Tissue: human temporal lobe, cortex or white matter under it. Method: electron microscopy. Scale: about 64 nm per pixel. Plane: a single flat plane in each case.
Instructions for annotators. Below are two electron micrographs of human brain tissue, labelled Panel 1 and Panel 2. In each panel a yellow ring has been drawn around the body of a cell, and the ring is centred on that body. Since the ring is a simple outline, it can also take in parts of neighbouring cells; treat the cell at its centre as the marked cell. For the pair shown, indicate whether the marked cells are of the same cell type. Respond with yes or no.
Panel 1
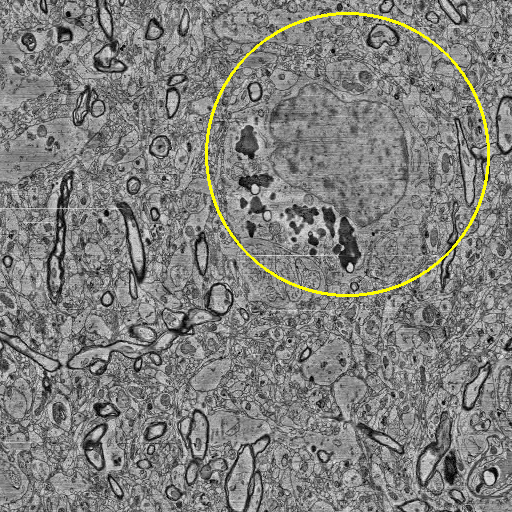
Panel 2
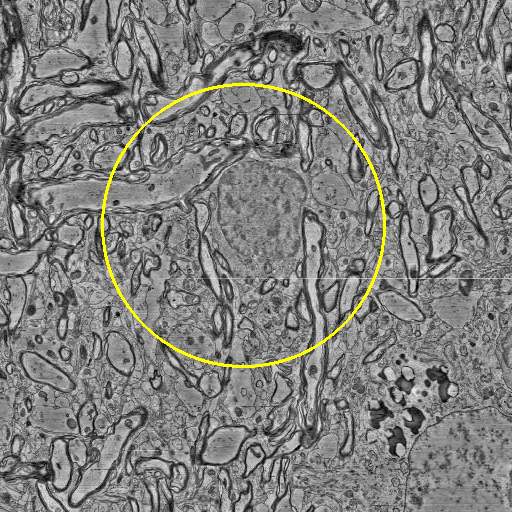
no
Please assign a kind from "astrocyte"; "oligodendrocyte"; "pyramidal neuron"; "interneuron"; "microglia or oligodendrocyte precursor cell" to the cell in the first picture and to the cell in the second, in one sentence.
In the first picture we have an interneuron, and in the second, an oligodendrocyte.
